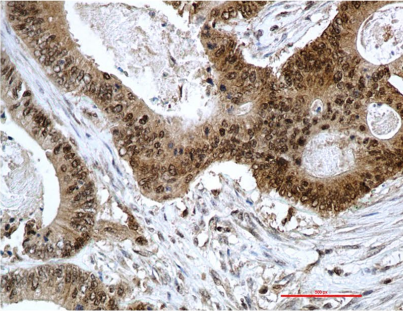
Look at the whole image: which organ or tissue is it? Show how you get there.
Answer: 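Irregular glands lined by tall columnar cells with crowded, enlarged nuclei. Gland lumens filled with necrotic debris. Glands lie within a fibrous stroma. So: colorectal cancer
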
